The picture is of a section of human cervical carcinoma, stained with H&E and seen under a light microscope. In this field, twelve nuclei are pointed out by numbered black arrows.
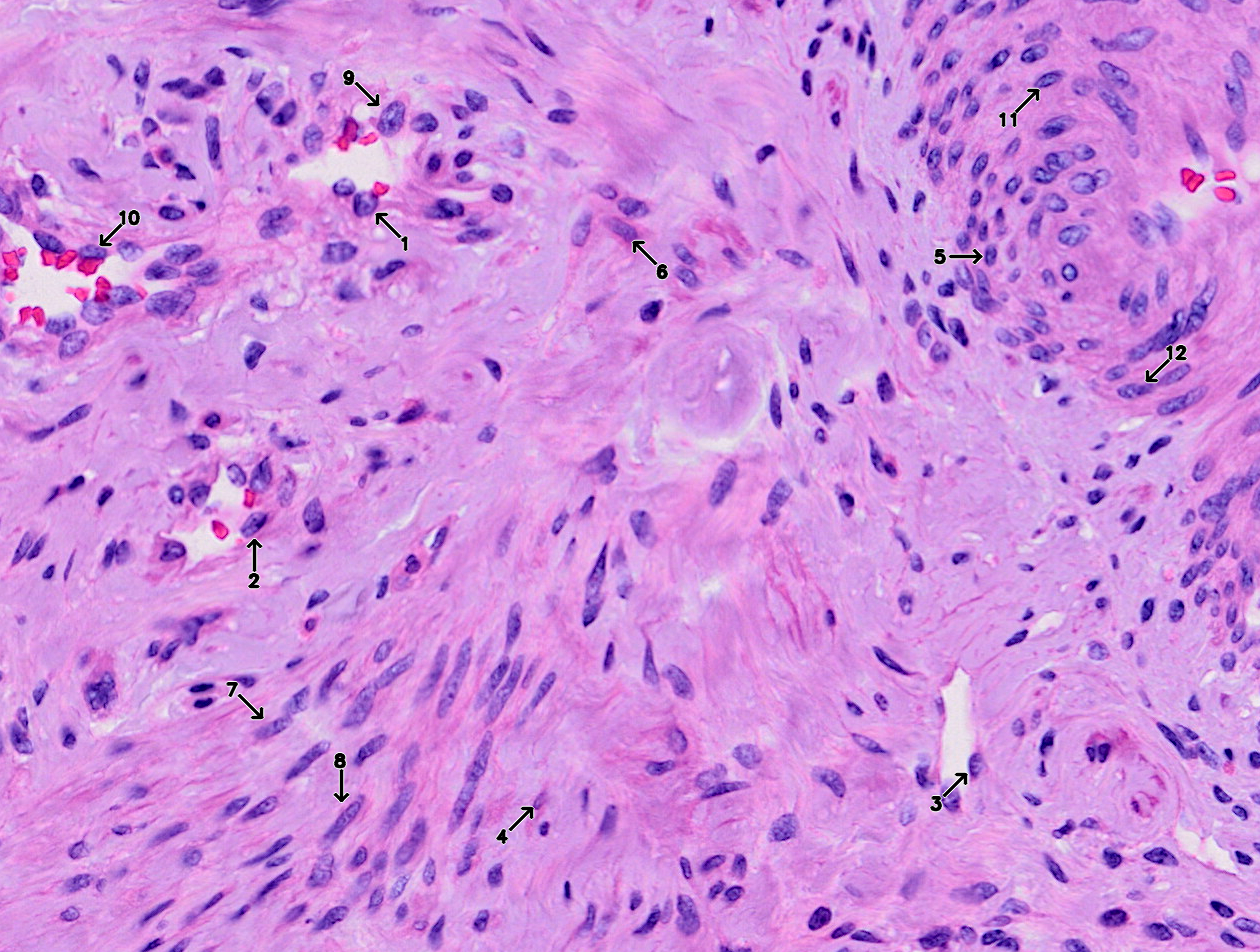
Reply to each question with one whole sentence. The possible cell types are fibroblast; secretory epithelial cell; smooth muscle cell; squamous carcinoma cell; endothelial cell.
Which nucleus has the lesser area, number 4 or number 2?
Number 4 is smaller, since number 2 takes up about 3 times as much area.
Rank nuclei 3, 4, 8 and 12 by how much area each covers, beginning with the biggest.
Largest first, the order by area is 8, 12, 3, 4.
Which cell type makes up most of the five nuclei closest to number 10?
Around number 10, most of the five nearest nuclei are those of endothelial cells.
